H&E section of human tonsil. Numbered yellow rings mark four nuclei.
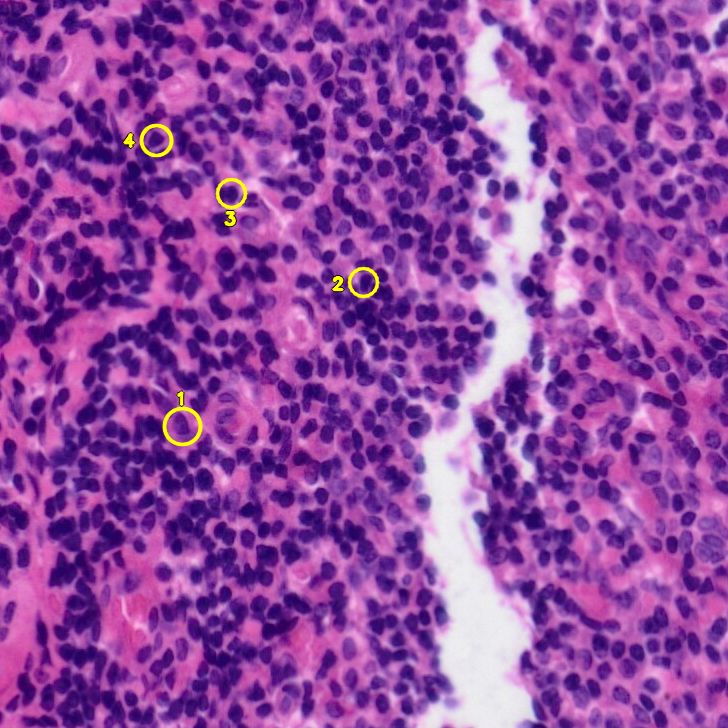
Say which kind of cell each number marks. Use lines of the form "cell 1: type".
cell 1: endothelial cell
cell 2: small lymphocyte
cell 3: small lymphocyte
cell 4: small lymphocyte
